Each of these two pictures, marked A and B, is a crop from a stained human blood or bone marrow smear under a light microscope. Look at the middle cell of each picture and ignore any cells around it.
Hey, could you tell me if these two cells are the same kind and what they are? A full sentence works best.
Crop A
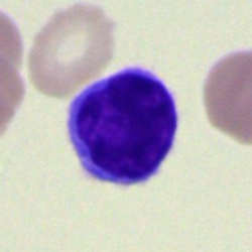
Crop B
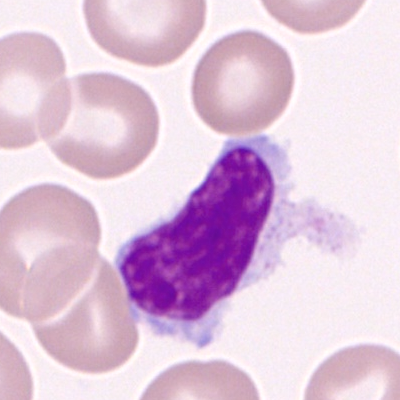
Yes, the two central cells, one per crop, are lymphocytes.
